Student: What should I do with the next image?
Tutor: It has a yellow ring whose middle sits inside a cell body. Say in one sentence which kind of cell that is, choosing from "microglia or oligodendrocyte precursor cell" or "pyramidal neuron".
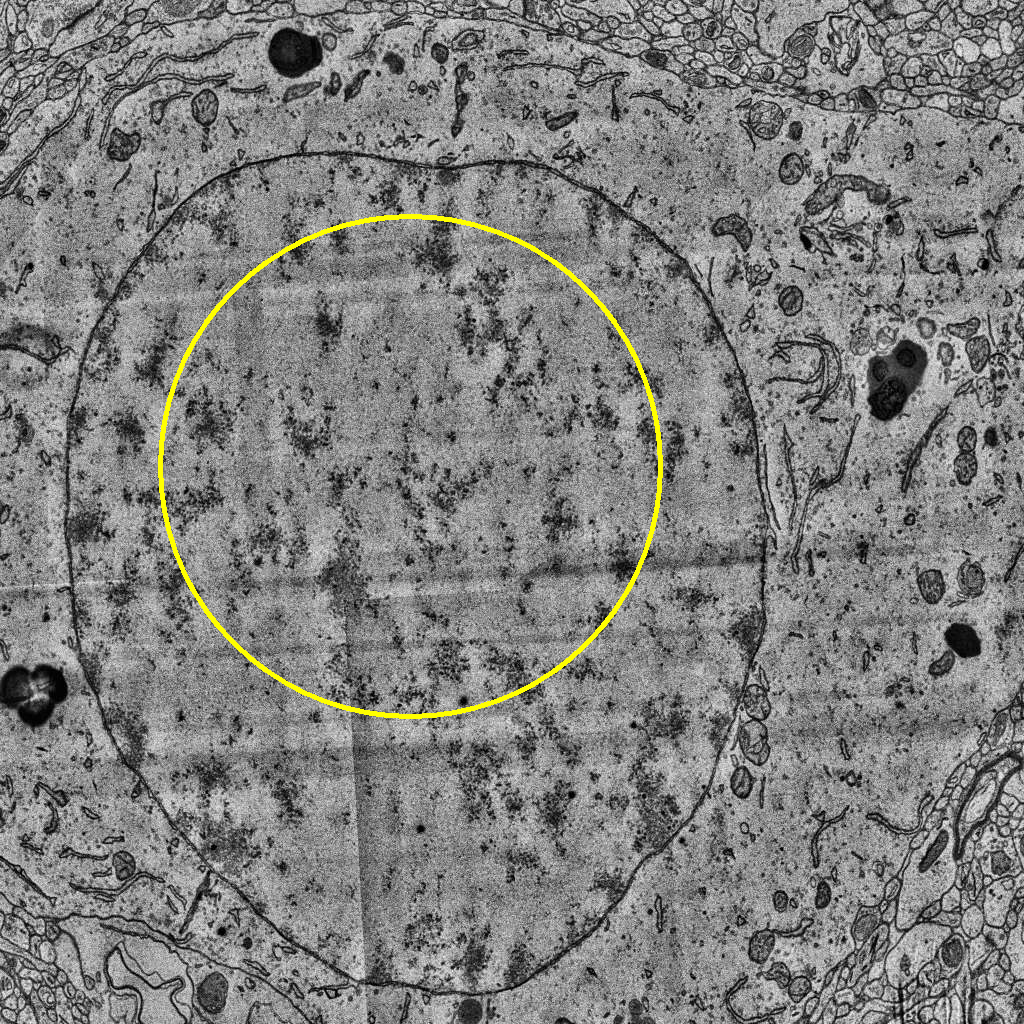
The ring's centre is occupied by a pyramidal neuron.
